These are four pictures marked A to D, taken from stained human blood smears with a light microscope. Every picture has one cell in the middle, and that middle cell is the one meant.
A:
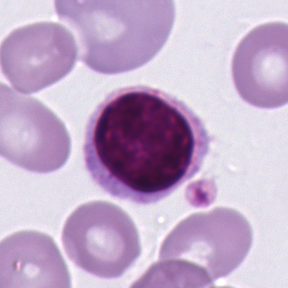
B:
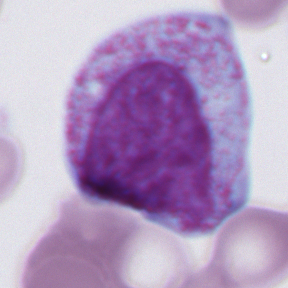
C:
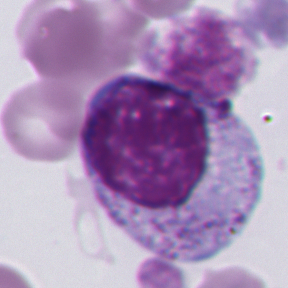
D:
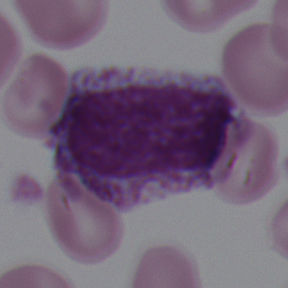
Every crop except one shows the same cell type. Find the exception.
A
